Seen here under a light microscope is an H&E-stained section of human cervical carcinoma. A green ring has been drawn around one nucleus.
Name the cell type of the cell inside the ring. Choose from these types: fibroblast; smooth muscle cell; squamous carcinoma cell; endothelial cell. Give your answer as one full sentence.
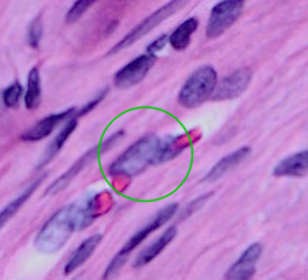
The cell inside the ring is an endothelial cell.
